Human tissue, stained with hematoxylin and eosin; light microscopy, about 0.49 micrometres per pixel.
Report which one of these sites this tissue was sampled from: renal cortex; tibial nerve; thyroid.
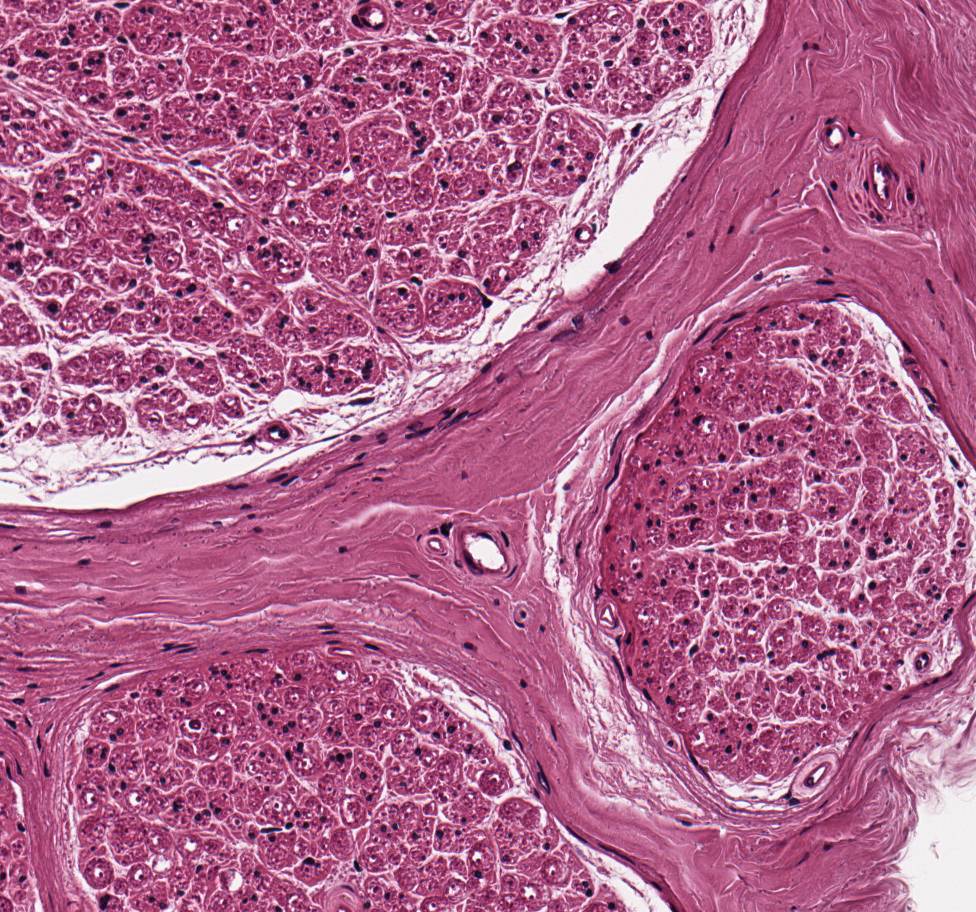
tibial nerve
